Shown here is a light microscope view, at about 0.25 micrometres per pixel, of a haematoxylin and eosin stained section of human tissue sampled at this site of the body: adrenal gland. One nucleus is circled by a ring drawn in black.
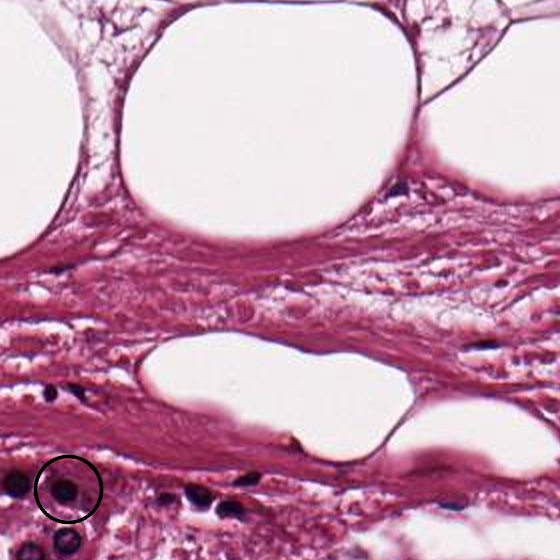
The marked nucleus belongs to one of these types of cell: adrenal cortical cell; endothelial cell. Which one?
adrenal cortical cell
